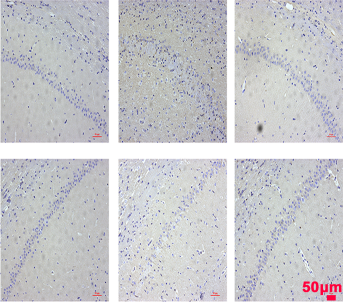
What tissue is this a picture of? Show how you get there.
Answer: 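Hippocampus. The band runs through a paler, sparsely nucleated surrounding tissue.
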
